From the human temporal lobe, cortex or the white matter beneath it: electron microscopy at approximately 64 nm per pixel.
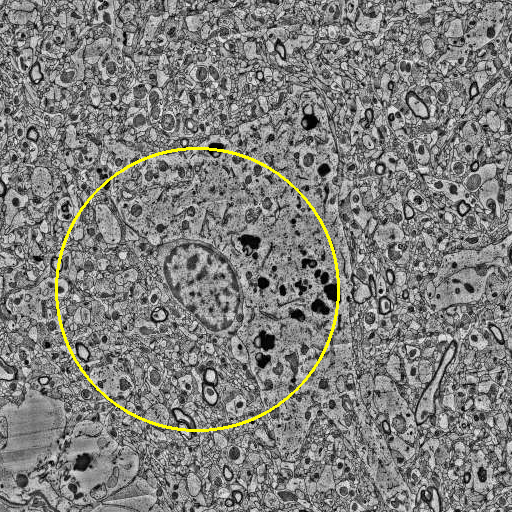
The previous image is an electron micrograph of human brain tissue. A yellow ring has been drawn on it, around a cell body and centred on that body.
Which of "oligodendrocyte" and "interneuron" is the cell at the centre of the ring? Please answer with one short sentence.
The cell body at the centre of the ring belongs to an oligodendrocyte.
